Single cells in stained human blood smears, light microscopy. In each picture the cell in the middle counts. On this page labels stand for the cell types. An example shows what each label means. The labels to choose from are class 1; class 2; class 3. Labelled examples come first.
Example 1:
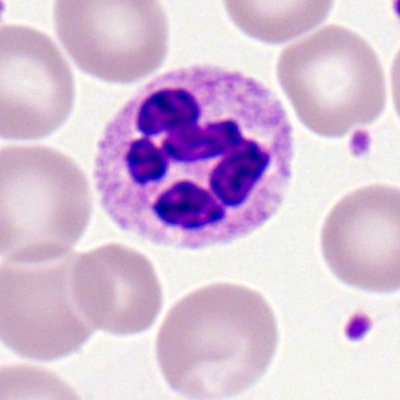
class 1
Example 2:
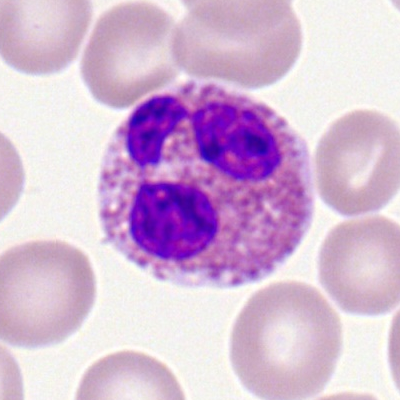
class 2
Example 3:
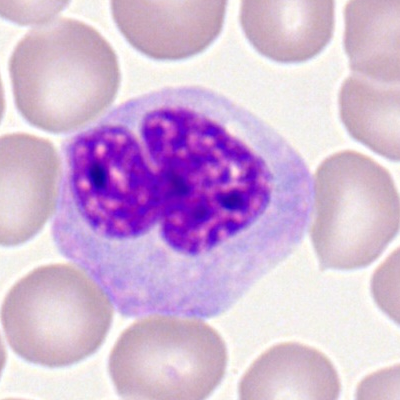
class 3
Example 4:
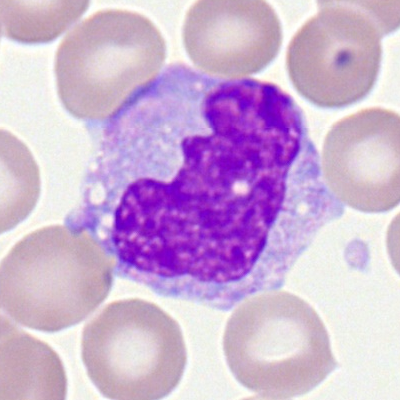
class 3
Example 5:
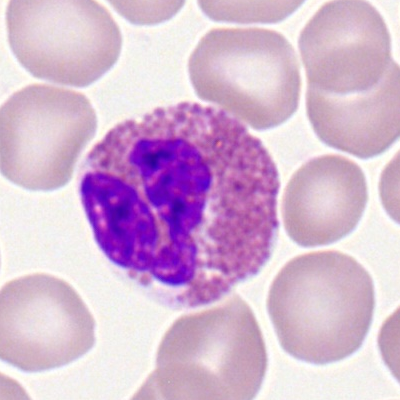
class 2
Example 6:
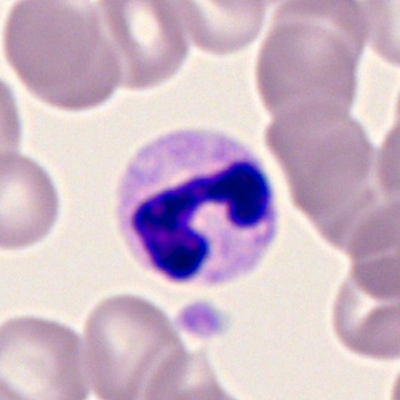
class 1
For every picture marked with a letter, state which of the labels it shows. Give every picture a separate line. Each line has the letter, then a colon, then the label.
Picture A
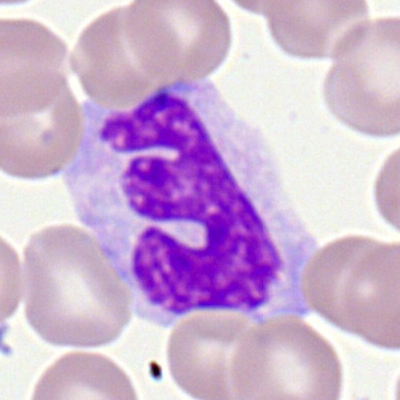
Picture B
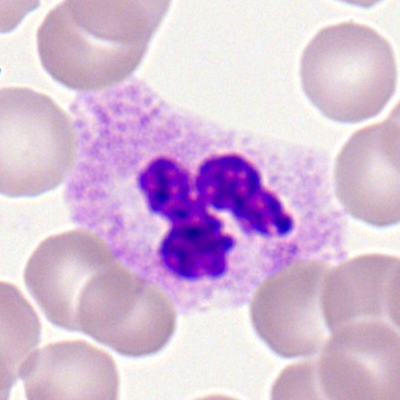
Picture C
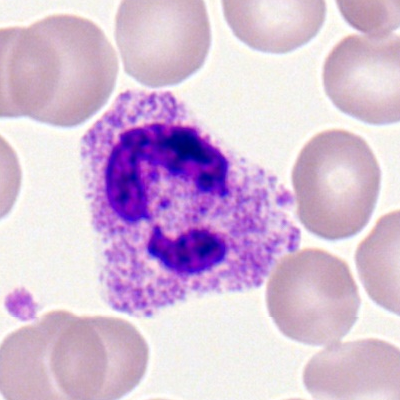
A: class 3
B: class 1
C: class 1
